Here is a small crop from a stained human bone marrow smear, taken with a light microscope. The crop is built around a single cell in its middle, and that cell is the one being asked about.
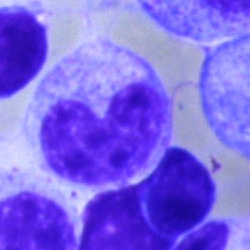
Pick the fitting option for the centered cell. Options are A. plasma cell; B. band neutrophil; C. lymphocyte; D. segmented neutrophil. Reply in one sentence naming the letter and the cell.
Given that the cell in the middle is a band neutrophil, option B is correct.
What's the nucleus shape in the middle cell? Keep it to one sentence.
The nuclear material is gathered into one compact round, oval or kidney-shaped mass.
